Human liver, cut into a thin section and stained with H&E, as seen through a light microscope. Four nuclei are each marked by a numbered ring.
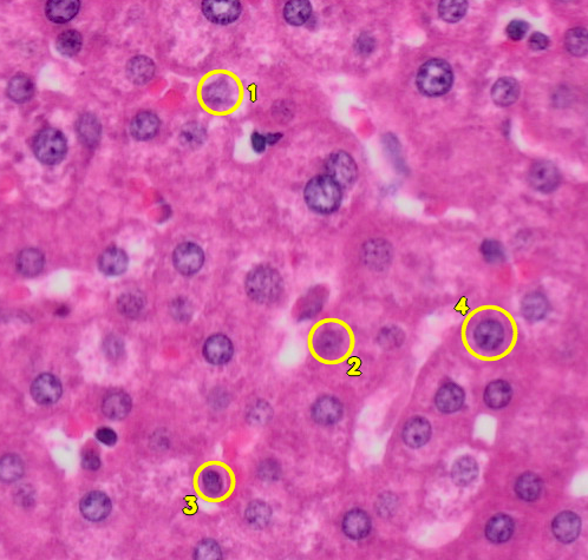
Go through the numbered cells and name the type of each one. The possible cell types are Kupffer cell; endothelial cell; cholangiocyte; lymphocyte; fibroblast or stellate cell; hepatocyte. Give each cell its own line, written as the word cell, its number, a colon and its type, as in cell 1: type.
cell 1: hepatocyte
cell 2: hepatocyte
cell 3: Kupffer cell
cell 4: hepatocyte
